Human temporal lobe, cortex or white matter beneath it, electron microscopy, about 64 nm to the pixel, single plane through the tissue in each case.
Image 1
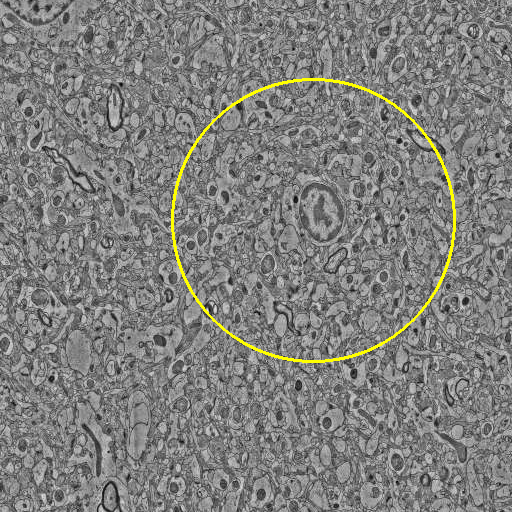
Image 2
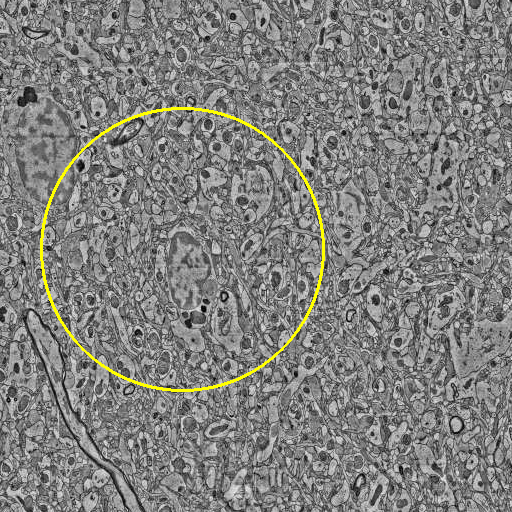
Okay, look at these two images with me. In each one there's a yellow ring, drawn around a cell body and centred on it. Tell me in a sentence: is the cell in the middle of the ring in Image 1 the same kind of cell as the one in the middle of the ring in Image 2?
Yes, they're the same kind of cell.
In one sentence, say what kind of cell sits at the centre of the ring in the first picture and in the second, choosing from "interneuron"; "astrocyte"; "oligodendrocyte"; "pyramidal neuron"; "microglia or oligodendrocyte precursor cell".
In the first picture and in the second, the ring is centred on a microglial cell or oligodendrocyte precursor cell.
